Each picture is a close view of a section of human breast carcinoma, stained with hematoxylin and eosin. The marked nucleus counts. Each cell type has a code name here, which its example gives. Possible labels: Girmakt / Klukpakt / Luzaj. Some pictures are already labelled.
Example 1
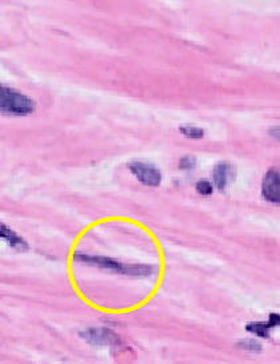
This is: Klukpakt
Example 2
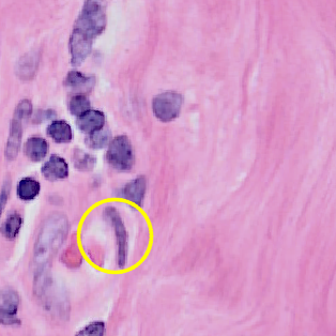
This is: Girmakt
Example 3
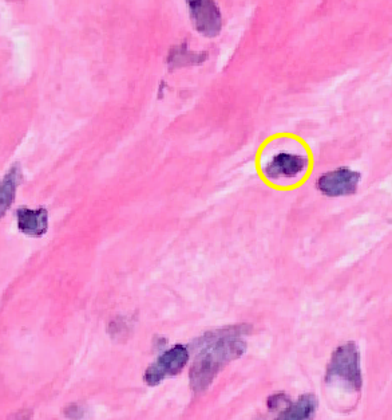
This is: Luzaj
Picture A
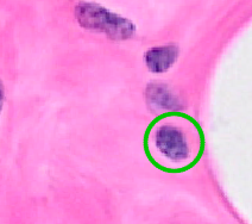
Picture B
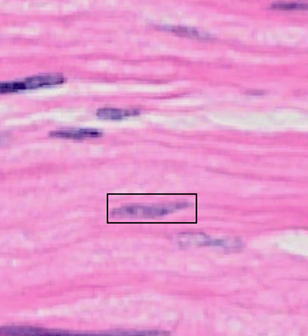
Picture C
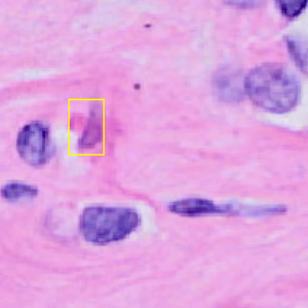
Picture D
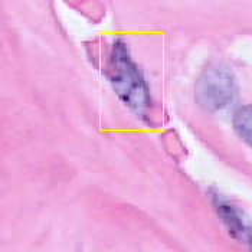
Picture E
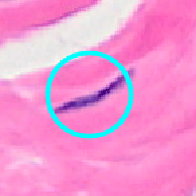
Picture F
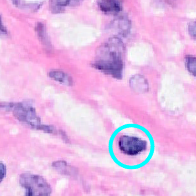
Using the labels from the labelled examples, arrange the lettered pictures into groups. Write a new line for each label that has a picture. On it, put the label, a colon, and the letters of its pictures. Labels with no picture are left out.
Girmakt: C, D
Klukpakt: B, E
Luzaj: A, F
